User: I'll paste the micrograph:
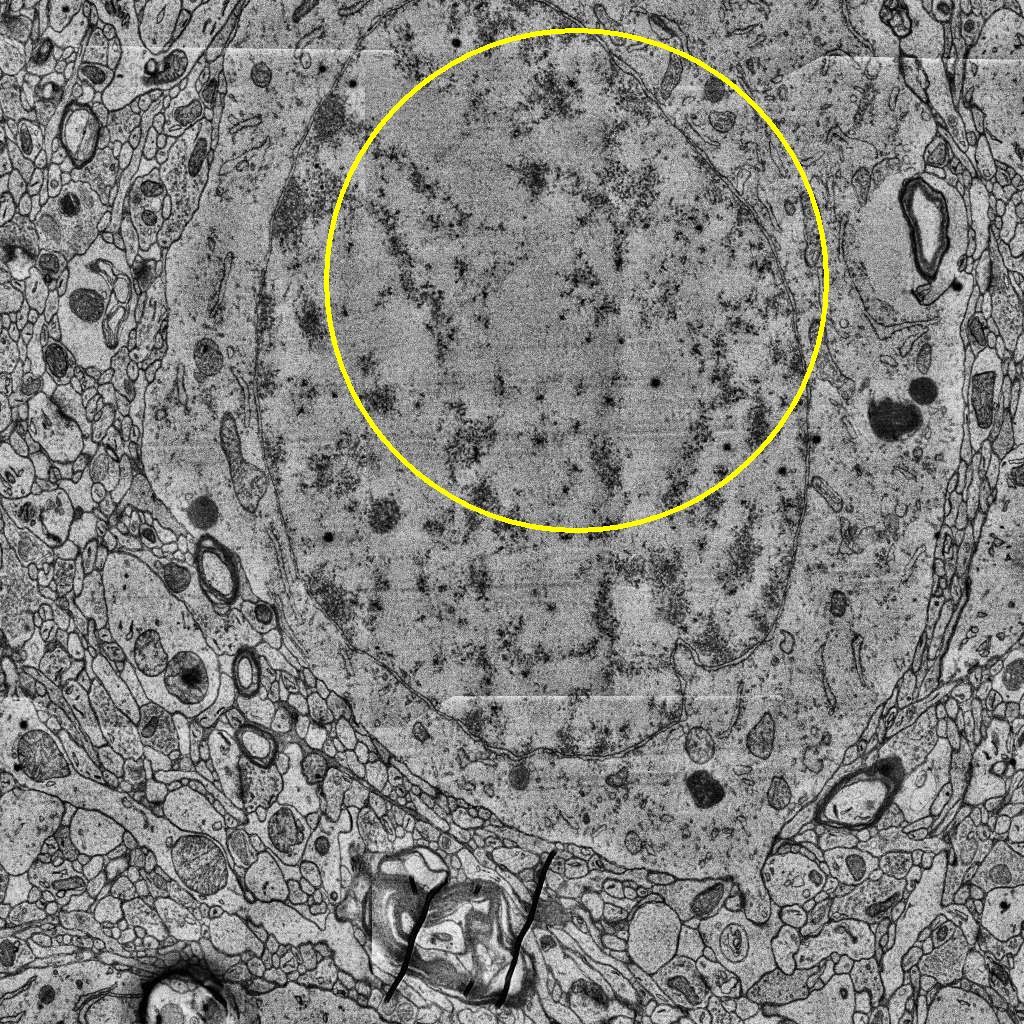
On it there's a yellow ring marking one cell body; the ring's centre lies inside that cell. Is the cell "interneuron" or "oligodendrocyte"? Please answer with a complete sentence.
The cell at the centre of the yellow ring is an interneuron.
